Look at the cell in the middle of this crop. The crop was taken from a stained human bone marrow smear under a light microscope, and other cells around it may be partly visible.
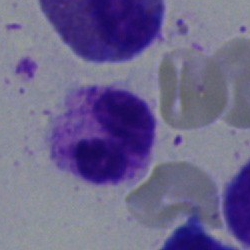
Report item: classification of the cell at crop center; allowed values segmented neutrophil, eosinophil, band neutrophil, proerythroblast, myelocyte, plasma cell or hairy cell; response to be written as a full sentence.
Framed in the middle of the crop is a segmented neutrophil.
